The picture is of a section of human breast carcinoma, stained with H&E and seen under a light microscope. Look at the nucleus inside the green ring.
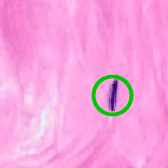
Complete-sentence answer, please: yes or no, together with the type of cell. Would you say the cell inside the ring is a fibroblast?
Yes, calling the cell inside the ring a fibroblast is correct.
